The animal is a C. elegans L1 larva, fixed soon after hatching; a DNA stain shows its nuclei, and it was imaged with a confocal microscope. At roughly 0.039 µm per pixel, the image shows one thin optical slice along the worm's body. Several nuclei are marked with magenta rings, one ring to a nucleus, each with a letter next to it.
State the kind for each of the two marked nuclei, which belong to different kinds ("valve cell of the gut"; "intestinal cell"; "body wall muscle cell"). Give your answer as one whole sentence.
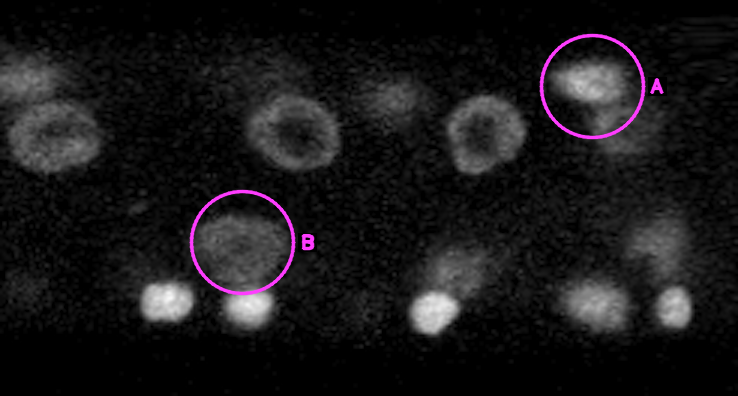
One is from a body wall muscle cell, namely A, and the other, B, is from an intestinal cell.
